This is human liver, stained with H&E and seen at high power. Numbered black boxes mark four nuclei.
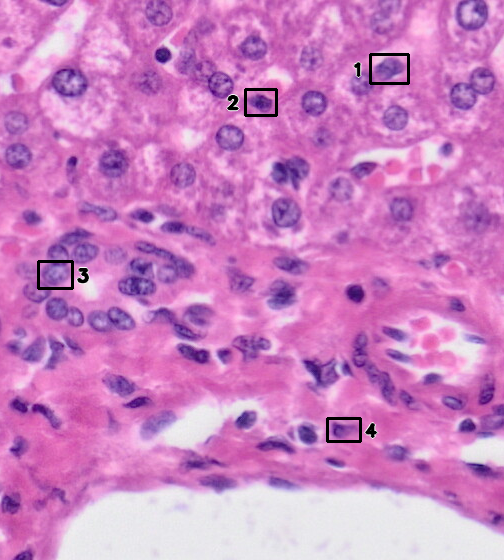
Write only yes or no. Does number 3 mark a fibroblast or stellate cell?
no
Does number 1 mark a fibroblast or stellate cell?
no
